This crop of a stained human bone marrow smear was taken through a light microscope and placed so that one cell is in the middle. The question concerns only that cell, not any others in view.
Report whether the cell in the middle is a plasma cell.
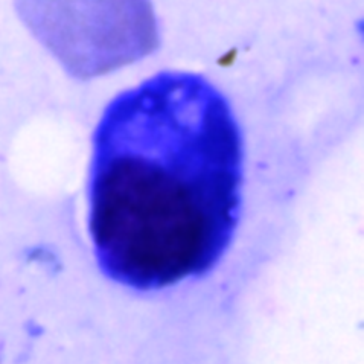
yes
